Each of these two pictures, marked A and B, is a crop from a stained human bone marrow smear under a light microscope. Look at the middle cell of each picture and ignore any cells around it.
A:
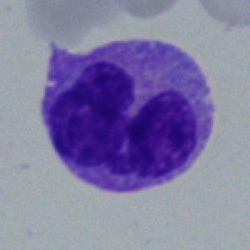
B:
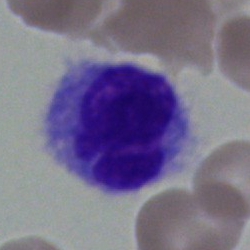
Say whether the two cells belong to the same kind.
yes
